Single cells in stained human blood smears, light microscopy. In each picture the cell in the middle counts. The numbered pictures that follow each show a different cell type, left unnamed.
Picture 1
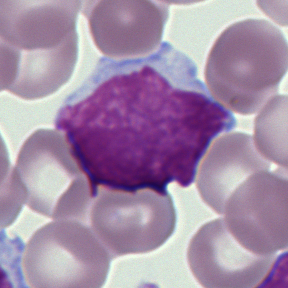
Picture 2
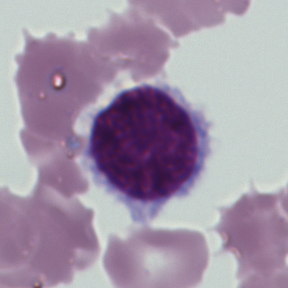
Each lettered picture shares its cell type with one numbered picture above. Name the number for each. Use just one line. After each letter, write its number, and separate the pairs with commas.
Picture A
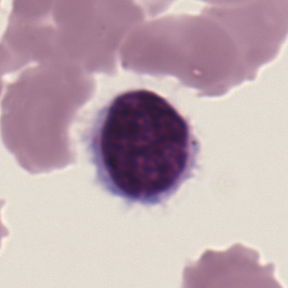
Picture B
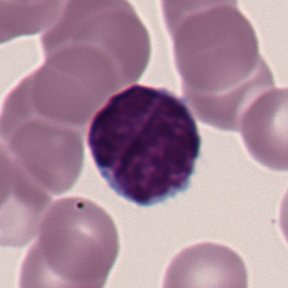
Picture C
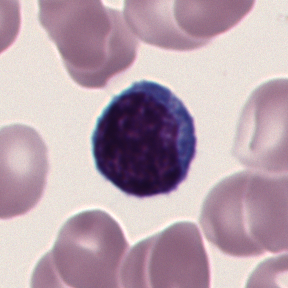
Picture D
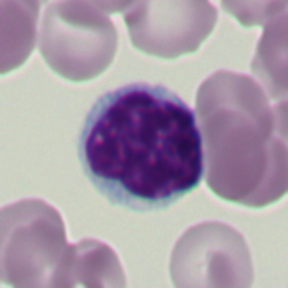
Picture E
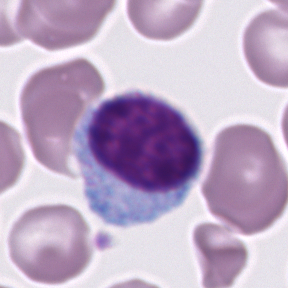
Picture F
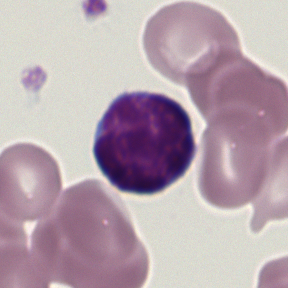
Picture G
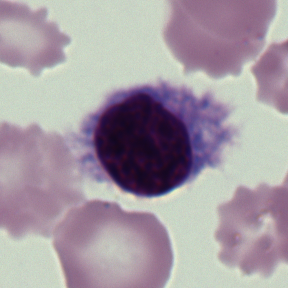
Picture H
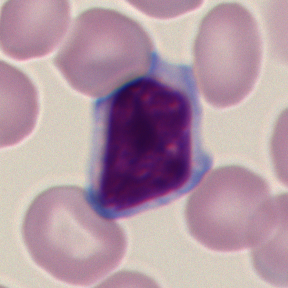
A 2, B 1, C 1, D 1, E 1, F 1, G 2, H 1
